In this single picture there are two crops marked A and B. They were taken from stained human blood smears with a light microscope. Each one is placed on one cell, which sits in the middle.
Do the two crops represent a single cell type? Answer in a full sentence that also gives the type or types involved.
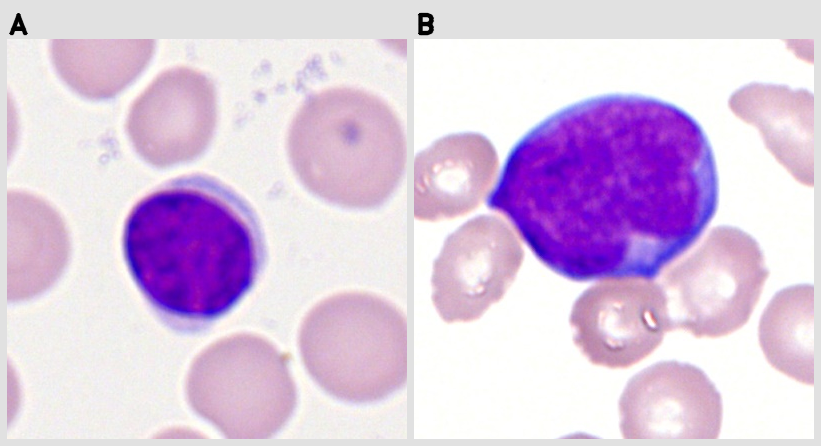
No, it is crop A that shows a lymphocyte, and crop B that shows a myeloblast.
